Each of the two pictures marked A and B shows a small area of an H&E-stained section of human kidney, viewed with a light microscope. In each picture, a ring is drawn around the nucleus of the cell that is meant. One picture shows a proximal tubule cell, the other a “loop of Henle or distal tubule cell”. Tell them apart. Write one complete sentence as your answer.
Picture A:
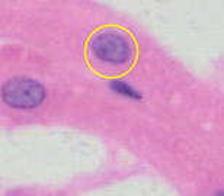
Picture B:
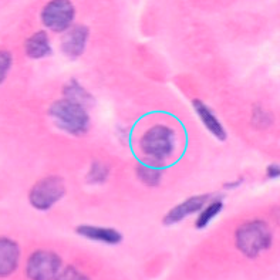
Picture A is of a proximal tubule cell, and picture B is of a “loop of Henle or distal tubule cell”.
